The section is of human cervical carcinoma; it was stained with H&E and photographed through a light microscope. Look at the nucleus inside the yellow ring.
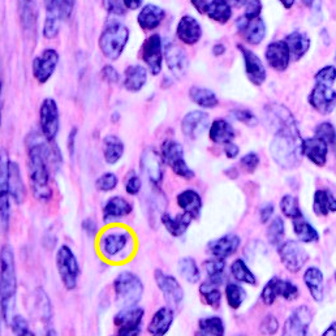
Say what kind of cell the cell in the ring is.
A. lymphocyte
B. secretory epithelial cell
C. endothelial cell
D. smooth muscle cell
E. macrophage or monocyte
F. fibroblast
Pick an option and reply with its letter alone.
A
